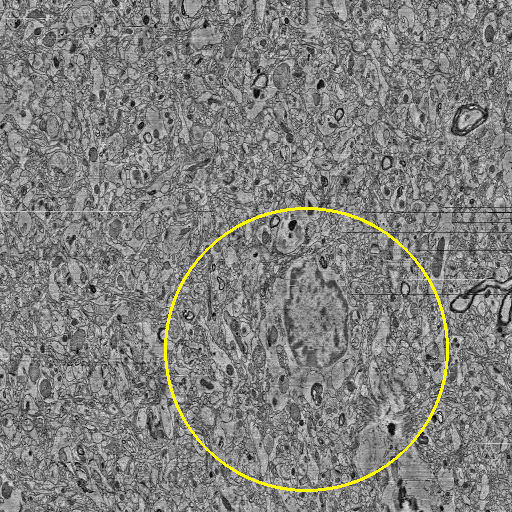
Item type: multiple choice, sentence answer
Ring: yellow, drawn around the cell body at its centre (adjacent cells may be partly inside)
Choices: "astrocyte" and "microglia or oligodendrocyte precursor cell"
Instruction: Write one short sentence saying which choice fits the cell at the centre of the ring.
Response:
This ring is drawn around a microglial cell or oligodendrocyte precursor cell.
